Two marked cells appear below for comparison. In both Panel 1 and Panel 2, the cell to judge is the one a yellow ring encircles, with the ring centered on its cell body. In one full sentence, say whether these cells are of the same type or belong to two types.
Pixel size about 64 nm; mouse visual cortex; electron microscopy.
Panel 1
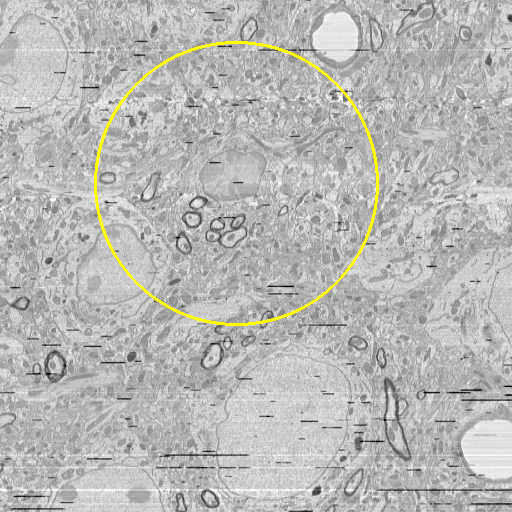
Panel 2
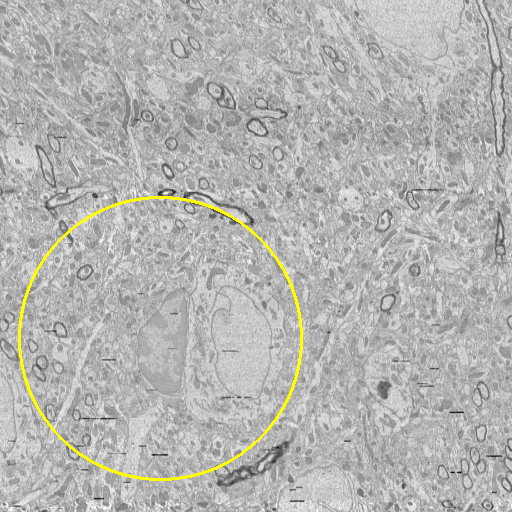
The cell centered in the Panel 1 ring and the one in Panel 2 are of the same type.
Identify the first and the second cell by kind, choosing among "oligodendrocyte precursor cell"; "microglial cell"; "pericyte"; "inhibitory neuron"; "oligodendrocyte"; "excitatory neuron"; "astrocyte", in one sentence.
In each picture the ringed cell is a microglial cell.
